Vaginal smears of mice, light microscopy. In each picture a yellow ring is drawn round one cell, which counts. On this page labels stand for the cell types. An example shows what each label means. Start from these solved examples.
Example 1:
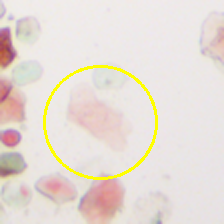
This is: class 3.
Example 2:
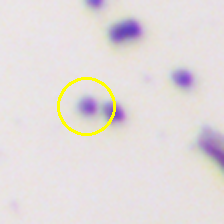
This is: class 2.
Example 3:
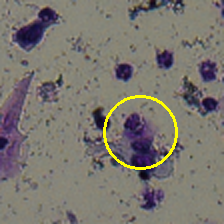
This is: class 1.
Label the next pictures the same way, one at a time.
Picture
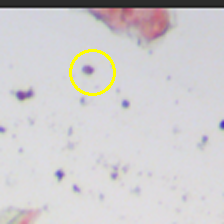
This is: class 2.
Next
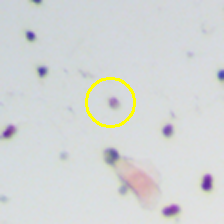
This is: class 2.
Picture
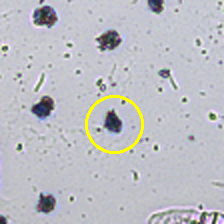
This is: class 2.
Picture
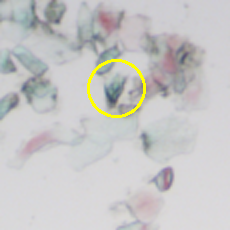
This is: class 3.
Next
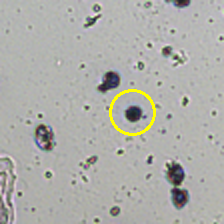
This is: class 2.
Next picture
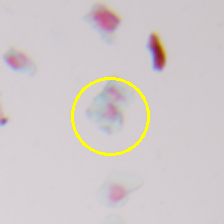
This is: class 1.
